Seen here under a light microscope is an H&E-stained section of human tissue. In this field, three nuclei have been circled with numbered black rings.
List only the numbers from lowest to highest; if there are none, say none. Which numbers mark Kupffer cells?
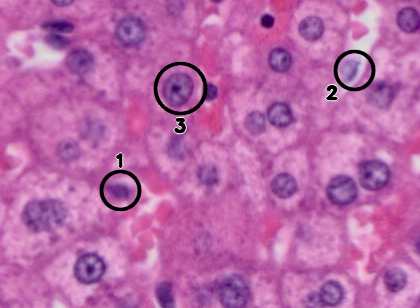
1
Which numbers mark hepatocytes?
3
